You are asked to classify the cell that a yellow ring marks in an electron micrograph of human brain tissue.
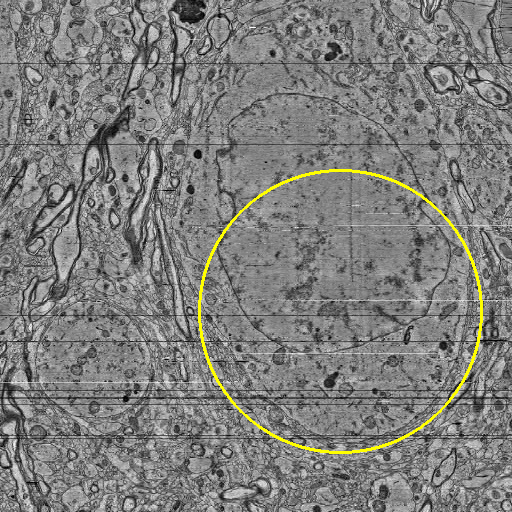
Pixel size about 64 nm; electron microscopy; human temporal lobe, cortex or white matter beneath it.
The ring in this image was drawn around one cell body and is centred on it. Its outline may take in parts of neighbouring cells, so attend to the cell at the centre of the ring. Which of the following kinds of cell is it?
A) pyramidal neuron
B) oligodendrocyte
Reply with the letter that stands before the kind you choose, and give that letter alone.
A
